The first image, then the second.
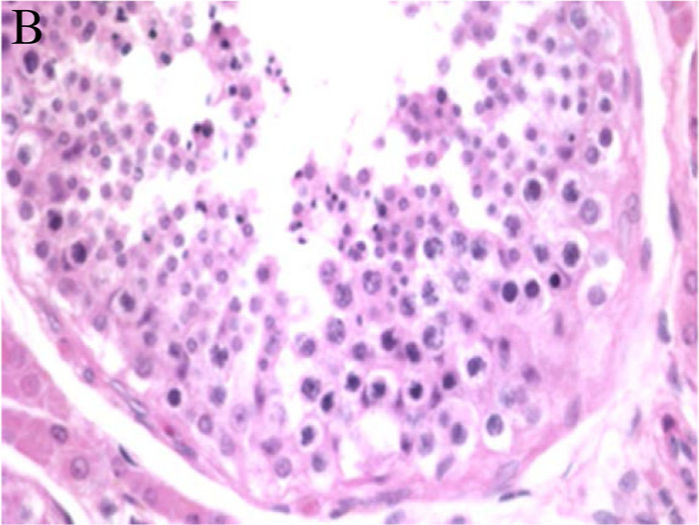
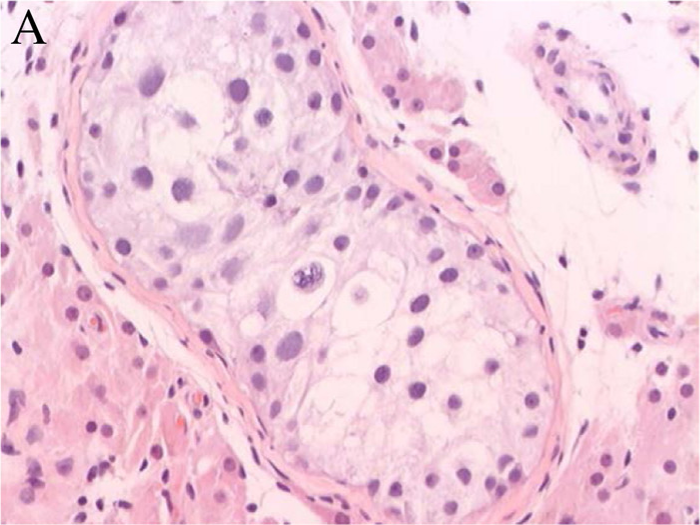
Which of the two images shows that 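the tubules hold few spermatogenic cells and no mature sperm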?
The second image.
